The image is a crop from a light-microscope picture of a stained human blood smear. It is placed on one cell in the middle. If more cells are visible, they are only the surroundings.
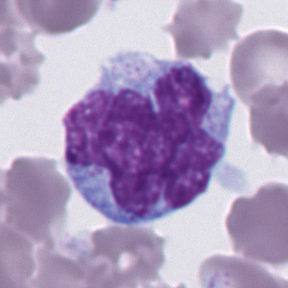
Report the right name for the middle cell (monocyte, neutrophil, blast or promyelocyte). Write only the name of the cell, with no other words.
monocyte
